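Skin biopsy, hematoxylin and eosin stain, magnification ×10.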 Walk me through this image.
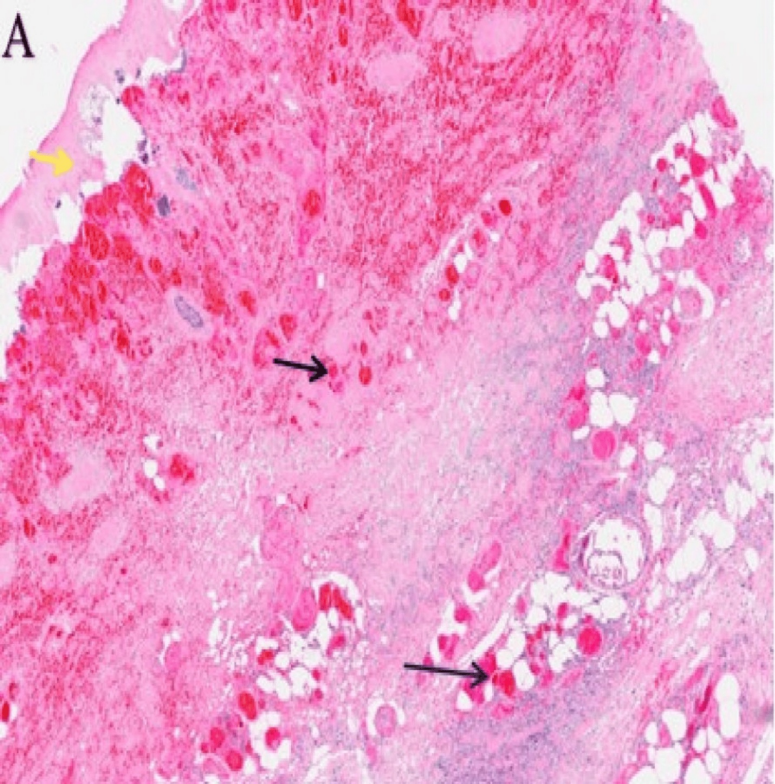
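This low-power view runs from a thin, pale pink, nucleus-poor surface layer at the upper left down through dermis into subcutaneous fat at the right. The upper part of the dermis is diffusely and intensely red, with scattered darker red rounded pools of blood. Deeper down, rows of clear empty fat cells are interspersed with bright red blood filling the spaces between them. A band of purple, cell-rich tissue runs between the red dermis and the fat.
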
